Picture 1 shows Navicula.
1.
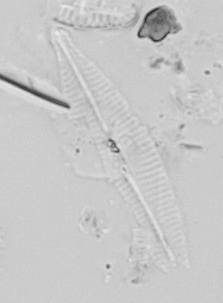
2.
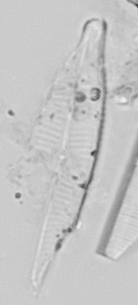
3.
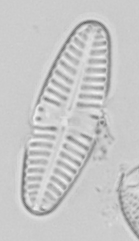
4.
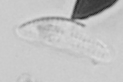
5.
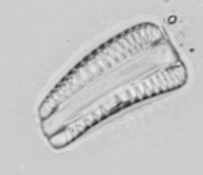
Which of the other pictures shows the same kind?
Picture 2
